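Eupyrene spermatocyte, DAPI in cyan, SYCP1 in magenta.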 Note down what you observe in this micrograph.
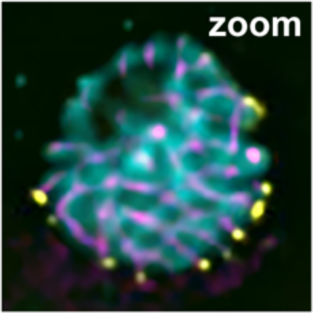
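The chromatin, in cyan, is organised into long winding strands rather than an even haze. Thin magenta threads run along these strands through the whole nucleus, giving it a combed, thread-like look. Bright yellow dots lie mostly at the edge of the nucleus, many of them at the ends of the threads. Outside the nucleus the background is dark with little magenta.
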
